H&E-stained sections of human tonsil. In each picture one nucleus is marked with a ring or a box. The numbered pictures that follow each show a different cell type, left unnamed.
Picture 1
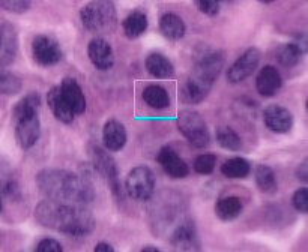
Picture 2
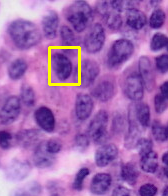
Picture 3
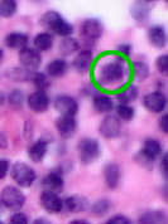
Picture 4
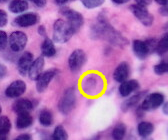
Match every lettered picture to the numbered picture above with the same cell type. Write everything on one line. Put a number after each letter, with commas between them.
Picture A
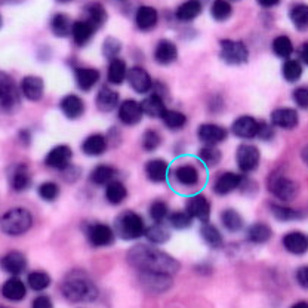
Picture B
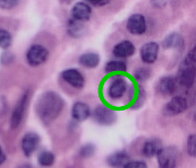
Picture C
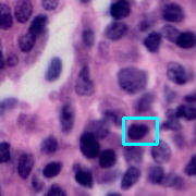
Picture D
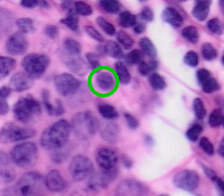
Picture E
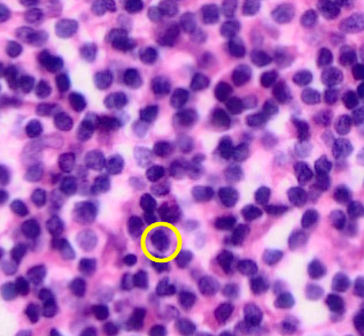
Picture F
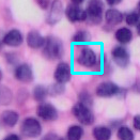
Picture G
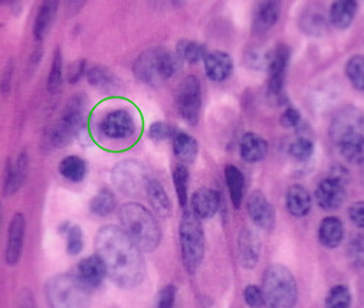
A 3, B 1, C 1, D 2, E 3, F 3, G 1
